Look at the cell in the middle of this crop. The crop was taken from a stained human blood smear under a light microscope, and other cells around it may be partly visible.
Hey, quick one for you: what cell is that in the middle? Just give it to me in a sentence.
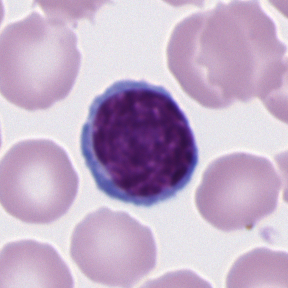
At the crop's centre, the cell is a typical lymphocyte.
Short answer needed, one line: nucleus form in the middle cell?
If you check the nucleus, you will find one compact mass, round, oval or kidney-shaped.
